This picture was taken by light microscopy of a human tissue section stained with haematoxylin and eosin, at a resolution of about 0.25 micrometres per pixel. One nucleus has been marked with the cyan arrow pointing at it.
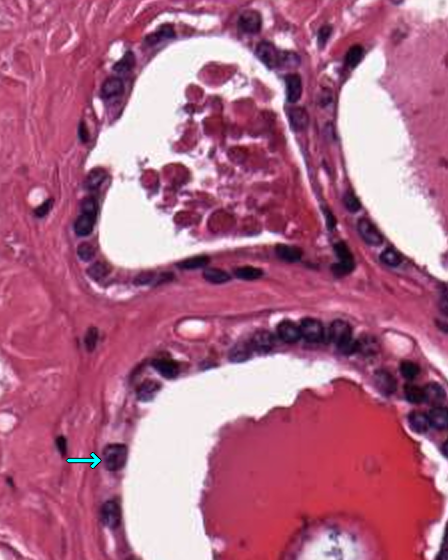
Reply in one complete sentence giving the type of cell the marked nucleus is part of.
The marked nucleus is seen to belong to a thyroid follicular cell.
